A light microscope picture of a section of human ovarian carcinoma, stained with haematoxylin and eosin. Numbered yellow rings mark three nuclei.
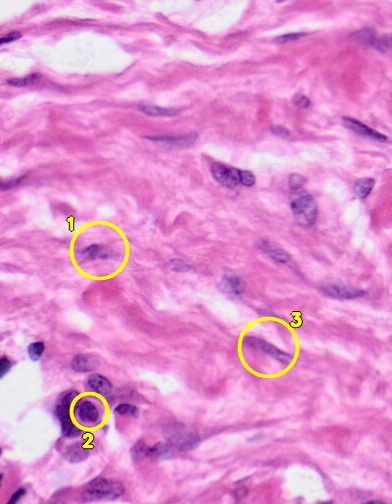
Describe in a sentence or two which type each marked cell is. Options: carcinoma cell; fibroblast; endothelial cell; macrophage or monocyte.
Cells 1 and 3 are fibroblasts. Cell 2 is a carcinoma cell.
